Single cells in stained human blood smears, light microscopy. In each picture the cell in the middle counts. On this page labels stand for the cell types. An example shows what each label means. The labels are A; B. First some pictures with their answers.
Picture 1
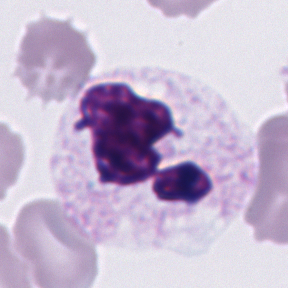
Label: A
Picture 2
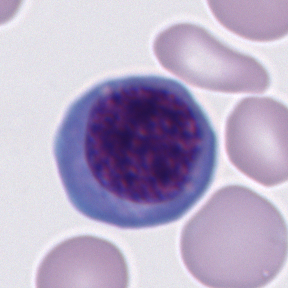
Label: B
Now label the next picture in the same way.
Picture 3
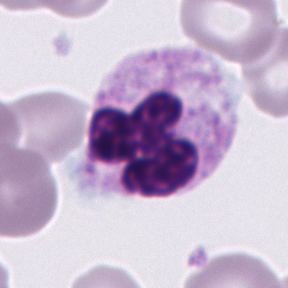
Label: A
